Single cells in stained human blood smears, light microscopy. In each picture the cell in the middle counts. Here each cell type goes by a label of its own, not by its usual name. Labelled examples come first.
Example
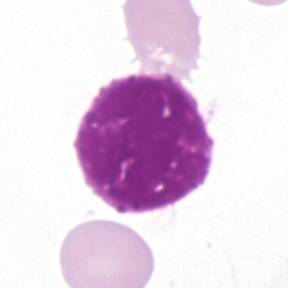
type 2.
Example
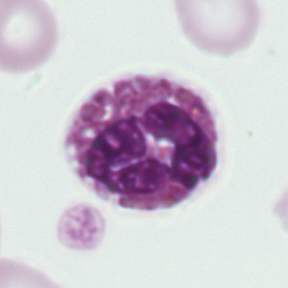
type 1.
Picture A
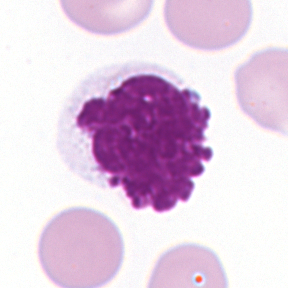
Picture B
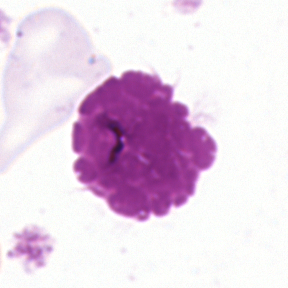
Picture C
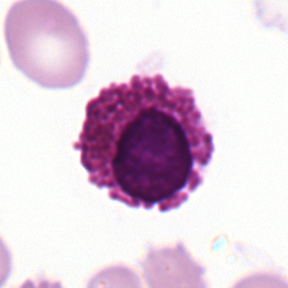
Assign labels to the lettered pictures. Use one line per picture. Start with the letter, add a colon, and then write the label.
A: type 2.
B: type 2.
C: type 1.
